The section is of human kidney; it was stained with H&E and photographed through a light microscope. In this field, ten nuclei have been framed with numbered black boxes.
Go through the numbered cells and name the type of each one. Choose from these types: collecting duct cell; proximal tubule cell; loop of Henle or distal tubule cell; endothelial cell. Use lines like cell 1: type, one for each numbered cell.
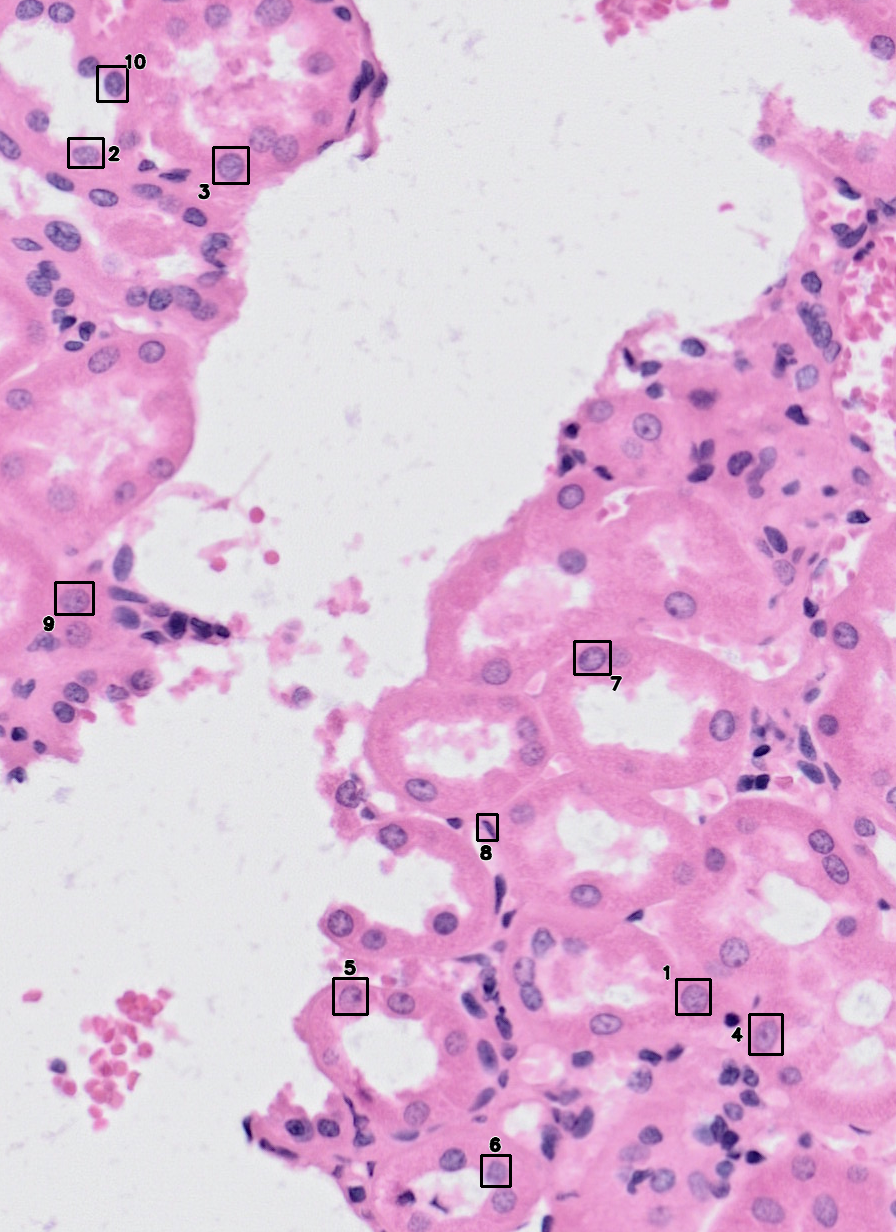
cell 1: proximal tubule cell
cell 2: loop of Henle or distal tubule cell
cell 3: proximal tubule cell
cell 4: proximal tubule cell
cell 5: proximal tubule cell
cell 6: loop of Henle or distal tubule cell
cell 7: proximal tubule cell
cell 8: endothelial cell
cell 9: proximal tubule cell
cell 10: loop of Henle or distal tubule cell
